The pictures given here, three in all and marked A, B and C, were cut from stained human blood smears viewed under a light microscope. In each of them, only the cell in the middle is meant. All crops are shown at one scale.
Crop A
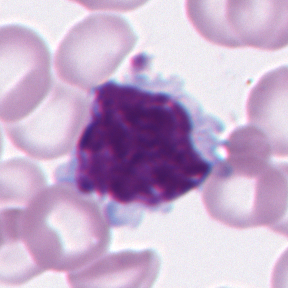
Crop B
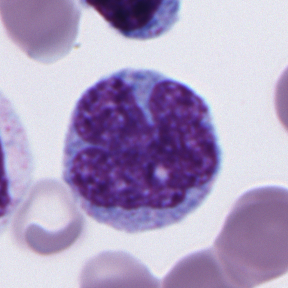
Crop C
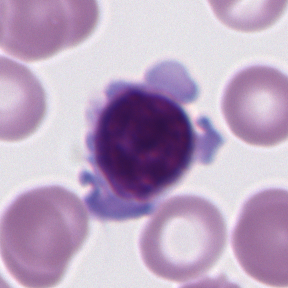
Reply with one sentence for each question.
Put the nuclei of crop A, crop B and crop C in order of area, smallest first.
Smallest first: C, A, B.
